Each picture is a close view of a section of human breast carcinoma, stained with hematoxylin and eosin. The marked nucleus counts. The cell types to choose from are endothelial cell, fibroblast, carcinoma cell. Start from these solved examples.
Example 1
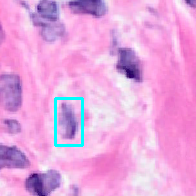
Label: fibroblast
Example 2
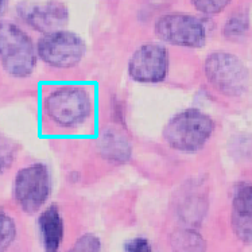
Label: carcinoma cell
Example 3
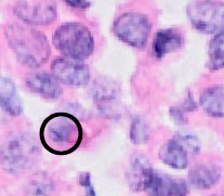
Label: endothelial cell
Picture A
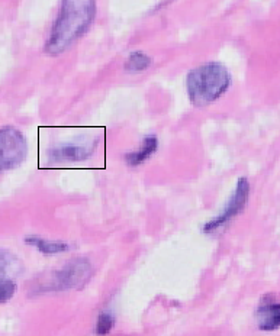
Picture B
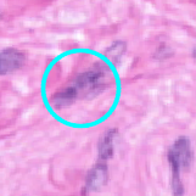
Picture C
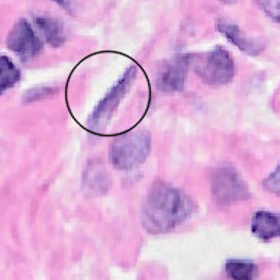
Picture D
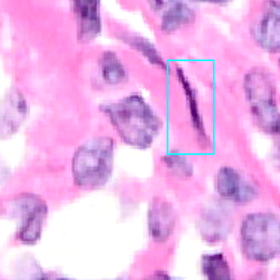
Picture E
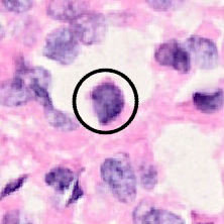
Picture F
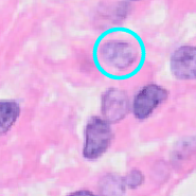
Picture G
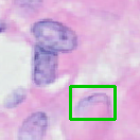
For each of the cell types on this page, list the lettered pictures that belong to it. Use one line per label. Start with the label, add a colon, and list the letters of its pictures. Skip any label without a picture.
fibroblast: A, B, C, D, G
carcinoma cell: E, F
